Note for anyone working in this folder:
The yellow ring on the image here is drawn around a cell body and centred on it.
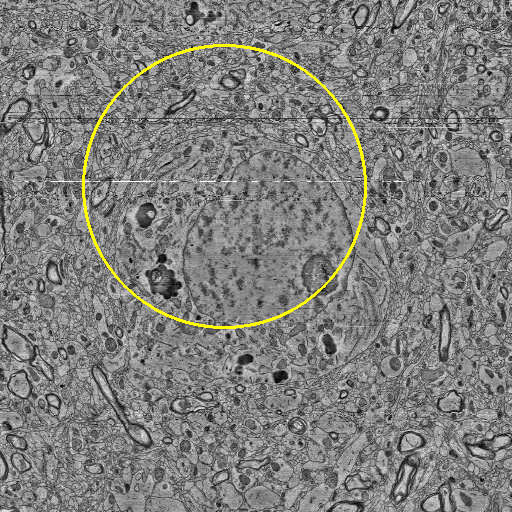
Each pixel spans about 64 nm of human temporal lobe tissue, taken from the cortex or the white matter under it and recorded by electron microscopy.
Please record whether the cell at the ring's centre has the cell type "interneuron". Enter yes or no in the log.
yes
